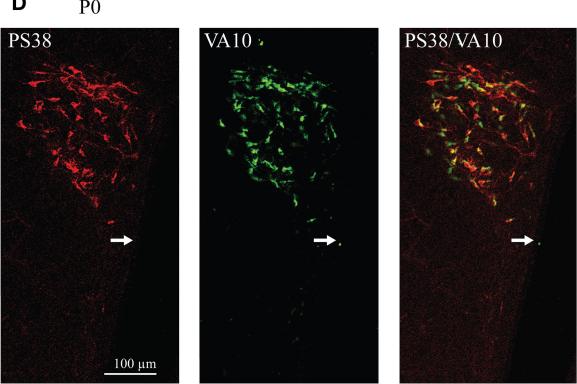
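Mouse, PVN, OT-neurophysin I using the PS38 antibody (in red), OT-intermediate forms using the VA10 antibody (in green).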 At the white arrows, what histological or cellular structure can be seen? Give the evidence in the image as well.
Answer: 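Third ventricle. The arrows point at the edge of the tissue where it meets a dark, empty space on the right. The labelled cell cluster lies beside this edge.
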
